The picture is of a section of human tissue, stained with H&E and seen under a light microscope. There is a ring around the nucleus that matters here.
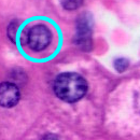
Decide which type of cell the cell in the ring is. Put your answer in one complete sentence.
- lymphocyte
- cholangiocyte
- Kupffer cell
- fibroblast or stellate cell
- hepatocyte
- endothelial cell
For the purposes of cell typing, the cell in the ring is categorized as a hepatocyte.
